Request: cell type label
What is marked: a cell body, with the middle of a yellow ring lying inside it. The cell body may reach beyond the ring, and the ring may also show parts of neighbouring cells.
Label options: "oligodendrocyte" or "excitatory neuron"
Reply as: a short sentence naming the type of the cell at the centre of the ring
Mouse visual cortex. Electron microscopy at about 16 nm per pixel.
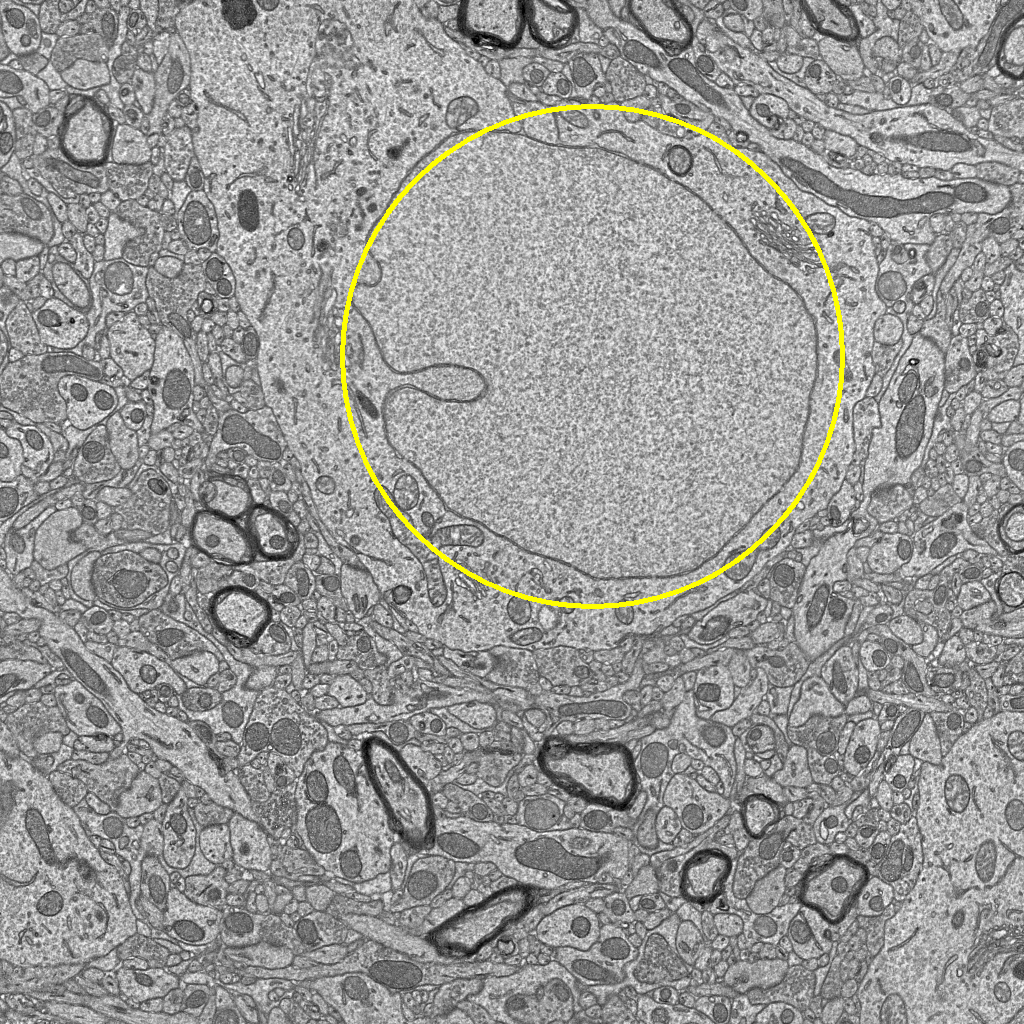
The marked cell body is that of an excitatory neuron.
